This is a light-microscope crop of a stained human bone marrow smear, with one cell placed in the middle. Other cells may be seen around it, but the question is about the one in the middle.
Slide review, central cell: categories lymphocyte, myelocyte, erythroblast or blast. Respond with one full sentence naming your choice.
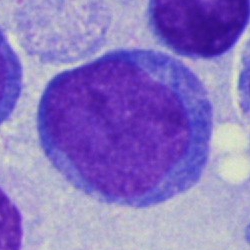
At the center of the crop sits a blast.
